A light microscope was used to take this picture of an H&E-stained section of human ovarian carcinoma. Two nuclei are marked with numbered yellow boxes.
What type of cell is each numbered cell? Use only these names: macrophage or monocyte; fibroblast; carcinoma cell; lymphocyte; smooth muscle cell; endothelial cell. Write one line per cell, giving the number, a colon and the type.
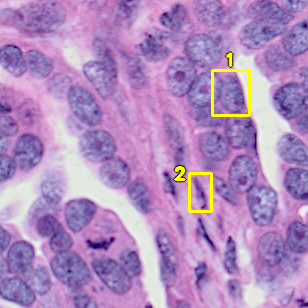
1: carcinoma cell
2: fibroblast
